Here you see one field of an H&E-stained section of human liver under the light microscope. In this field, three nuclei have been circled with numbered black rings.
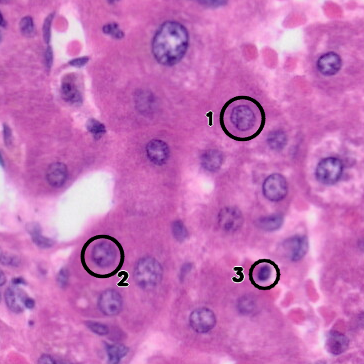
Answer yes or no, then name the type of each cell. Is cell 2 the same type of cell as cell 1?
Yes, cells 2 and 1 fall into the same group, both being hepatocytes.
